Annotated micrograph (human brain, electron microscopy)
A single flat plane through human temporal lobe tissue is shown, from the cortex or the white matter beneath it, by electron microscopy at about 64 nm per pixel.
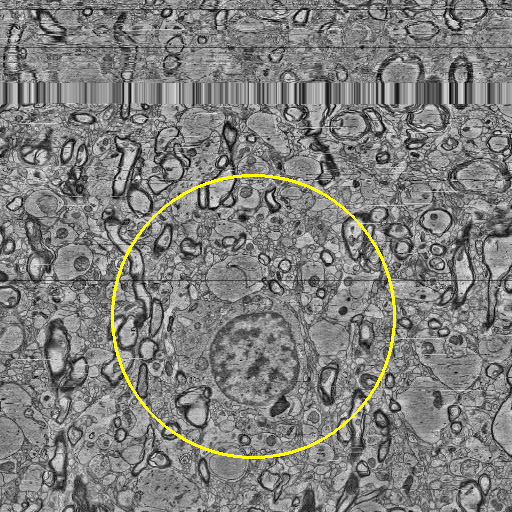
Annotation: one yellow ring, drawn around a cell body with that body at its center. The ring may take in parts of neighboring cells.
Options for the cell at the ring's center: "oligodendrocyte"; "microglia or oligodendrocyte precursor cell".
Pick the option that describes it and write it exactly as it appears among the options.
oligodendrocyte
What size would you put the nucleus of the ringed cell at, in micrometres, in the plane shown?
In this plane, roughly 6 micrometres across.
